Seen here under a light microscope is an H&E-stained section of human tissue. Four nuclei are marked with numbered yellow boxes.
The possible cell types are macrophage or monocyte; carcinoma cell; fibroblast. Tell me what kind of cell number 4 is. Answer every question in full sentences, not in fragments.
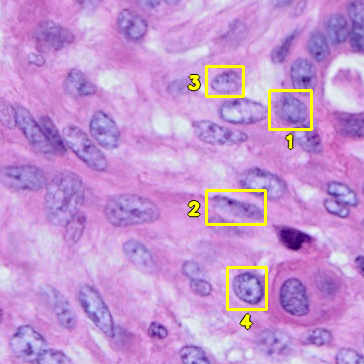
The cell that is numbered 4 is a fibroblast.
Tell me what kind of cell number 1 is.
Regarding cell 1, this one is a carcinoma cell.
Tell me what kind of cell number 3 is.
The cell identified by the number 3 is a fibroblast.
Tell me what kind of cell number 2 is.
Denoted by the label 2 in the section is a fibroblast.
